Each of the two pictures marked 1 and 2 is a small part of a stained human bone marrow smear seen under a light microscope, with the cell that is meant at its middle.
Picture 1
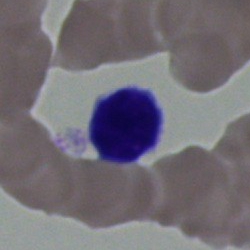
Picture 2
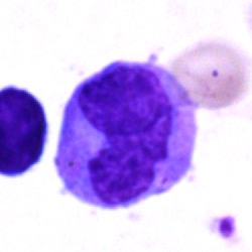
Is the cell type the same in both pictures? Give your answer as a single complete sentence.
No, picture 1 shows a lymphocyte and picture 2 shows a monocyte.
